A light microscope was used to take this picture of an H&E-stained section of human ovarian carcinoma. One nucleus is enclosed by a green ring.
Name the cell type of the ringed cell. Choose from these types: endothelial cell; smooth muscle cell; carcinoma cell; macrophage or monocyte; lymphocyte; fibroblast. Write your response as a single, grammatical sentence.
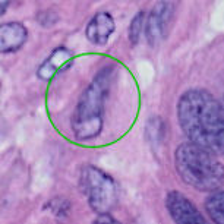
As for its identity, the ringed cell is a fibroblast.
